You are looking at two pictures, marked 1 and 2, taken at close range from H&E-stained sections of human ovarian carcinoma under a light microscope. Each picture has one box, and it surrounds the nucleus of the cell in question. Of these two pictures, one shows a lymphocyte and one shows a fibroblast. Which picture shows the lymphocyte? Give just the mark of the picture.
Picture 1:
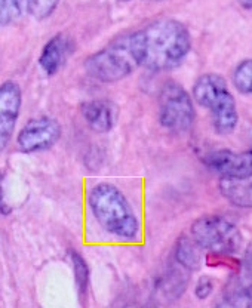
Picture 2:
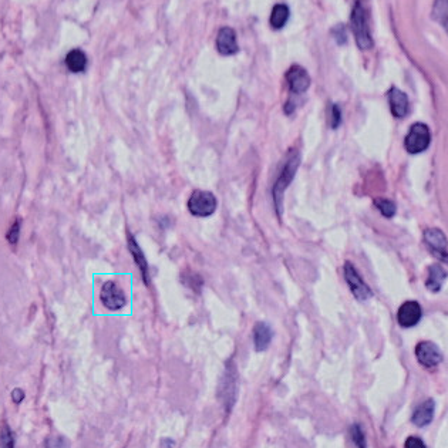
2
